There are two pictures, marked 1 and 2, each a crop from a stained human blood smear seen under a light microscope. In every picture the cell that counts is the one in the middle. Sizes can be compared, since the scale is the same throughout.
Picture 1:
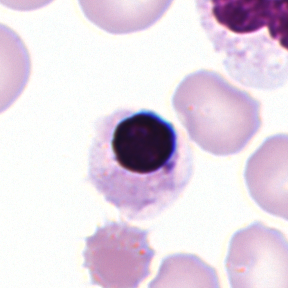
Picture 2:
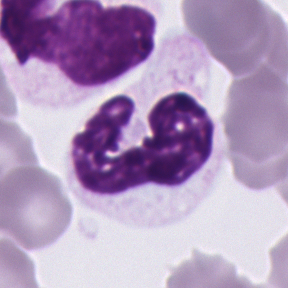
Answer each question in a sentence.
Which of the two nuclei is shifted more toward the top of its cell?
The nucleus in picture 1 lies further toward the top of its cell.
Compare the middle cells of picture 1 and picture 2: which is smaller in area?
It is the cell in picture 1; the cell in picture 2 has about 3 times its area.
